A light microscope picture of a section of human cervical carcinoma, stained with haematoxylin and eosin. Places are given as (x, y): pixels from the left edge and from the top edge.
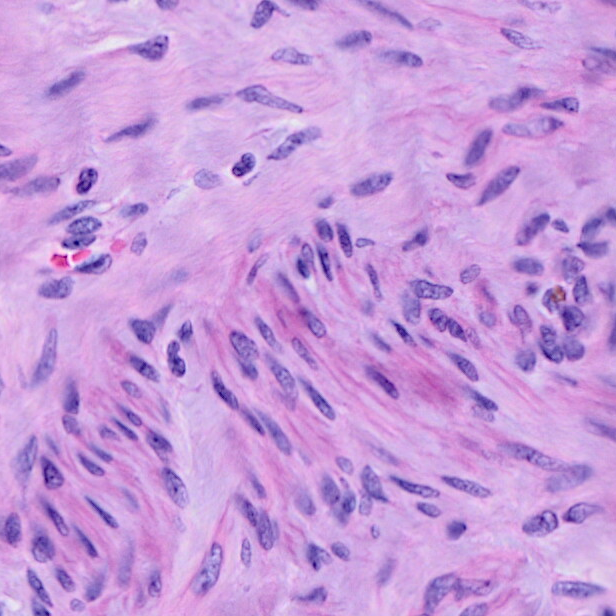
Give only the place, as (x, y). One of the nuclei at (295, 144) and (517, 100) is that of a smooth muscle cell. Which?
(517, 100)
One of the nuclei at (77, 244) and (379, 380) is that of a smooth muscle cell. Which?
(379, 380)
